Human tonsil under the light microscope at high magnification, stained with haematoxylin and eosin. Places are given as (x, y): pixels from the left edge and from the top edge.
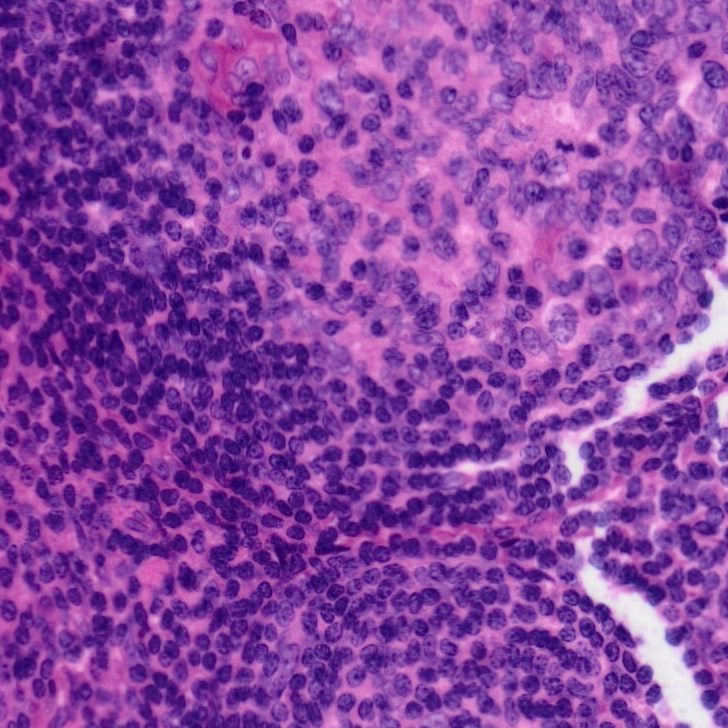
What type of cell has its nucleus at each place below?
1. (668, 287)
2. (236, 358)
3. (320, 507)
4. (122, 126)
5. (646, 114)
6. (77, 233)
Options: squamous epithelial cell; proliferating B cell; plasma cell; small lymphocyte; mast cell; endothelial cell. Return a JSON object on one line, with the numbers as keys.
{"1": "proliferating B cell", "2": "small lymphocyte", "3": "small lymphocyte", "4": "small lymphocyte", "5": "proliferating B cell", "6": "small lymphocyte"}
